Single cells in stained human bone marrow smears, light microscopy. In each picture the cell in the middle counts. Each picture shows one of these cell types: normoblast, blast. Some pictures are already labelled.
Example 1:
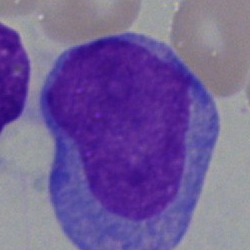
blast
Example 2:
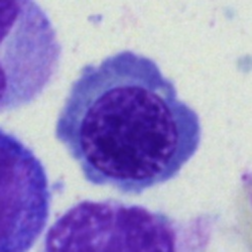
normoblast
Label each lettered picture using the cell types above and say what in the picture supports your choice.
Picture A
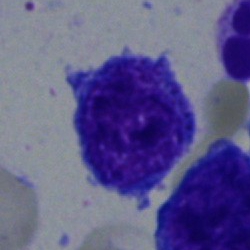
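Label: blast. The chromatin looks finely stippled rather than clumped.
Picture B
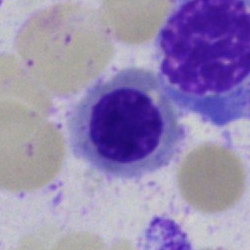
Label: normoblast. The chromatin is dense and deep purple, with coarse clumps.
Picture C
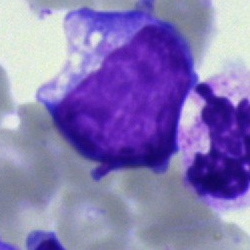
Label: blast. The chromatin is deep purple and finely textured rather than coarsely clumped.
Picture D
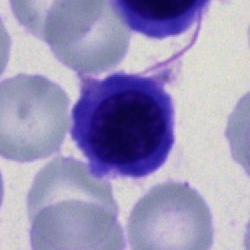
Label: normoblast. The chromatin is dark and dense with a coarsely clumped pattern.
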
